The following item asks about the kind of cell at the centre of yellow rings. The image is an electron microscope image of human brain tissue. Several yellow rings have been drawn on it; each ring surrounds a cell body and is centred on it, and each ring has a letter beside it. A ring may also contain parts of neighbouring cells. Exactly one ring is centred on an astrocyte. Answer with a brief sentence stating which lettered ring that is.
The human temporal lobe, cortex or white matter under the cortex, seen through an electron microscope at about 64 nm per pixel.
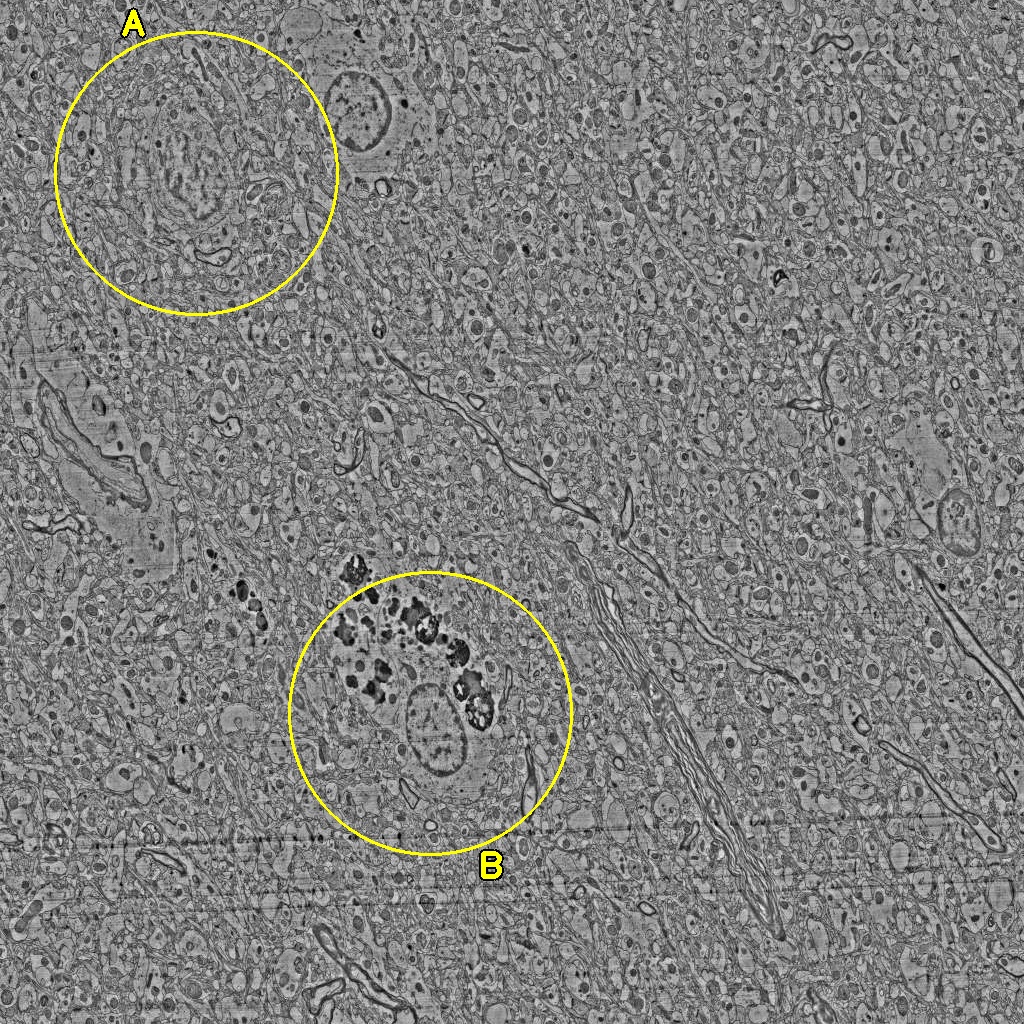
That is ring B.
